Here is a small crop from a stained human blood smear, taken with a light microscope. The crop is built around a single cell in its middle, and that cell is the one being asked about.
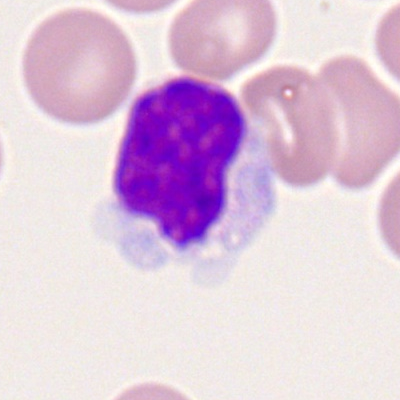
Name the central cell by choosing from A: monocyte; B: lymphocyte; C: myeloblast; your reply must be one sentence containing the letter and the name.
Option B gets it right: the cell in the middle is a lymphocyte.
